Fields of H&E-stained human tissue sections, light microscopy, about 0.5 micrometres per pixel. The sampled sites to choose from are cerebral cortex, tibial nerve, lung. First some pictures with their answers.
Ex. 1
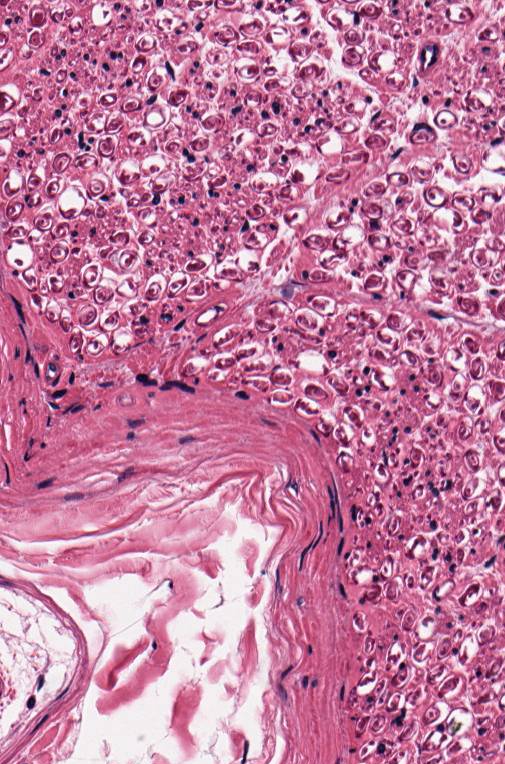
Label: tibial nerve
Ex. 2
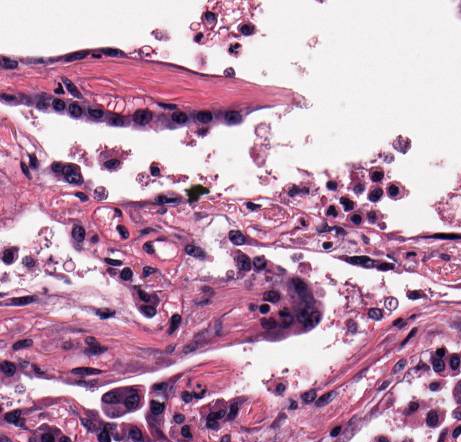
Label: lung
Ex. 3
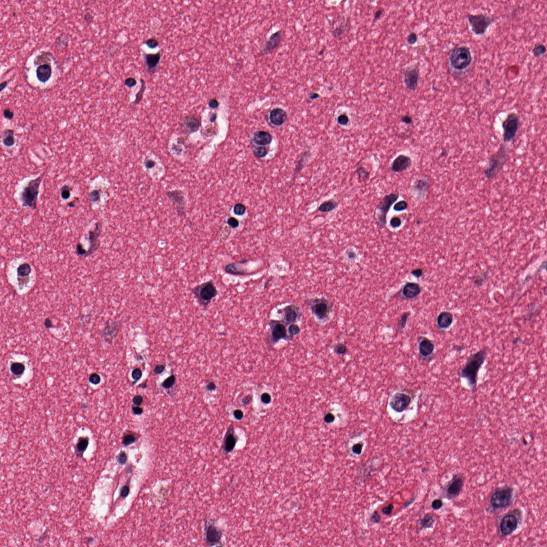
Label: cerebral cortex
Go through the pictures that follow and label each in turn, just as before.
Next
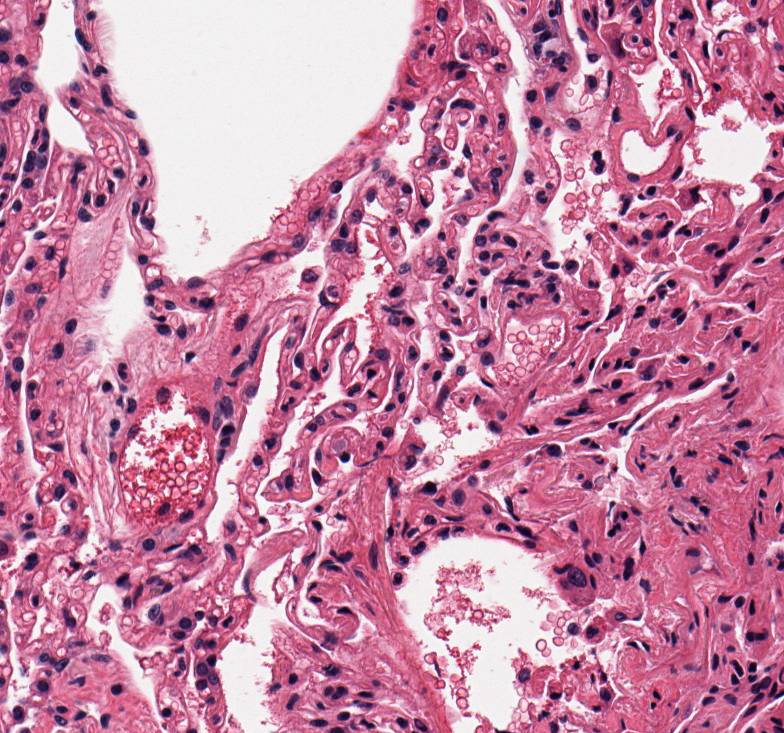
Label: lung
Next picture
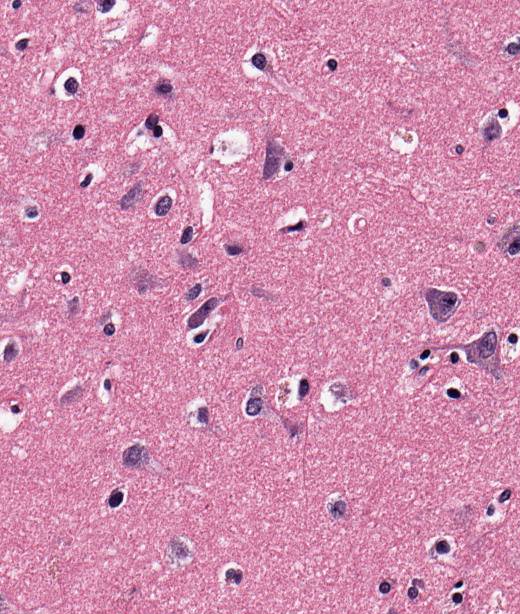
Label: cerebral cortex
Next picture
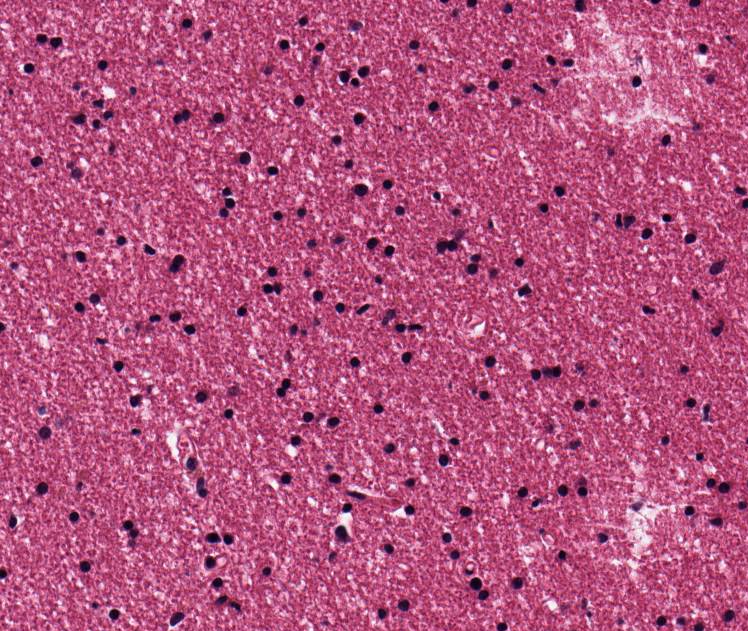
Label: cerebral cortex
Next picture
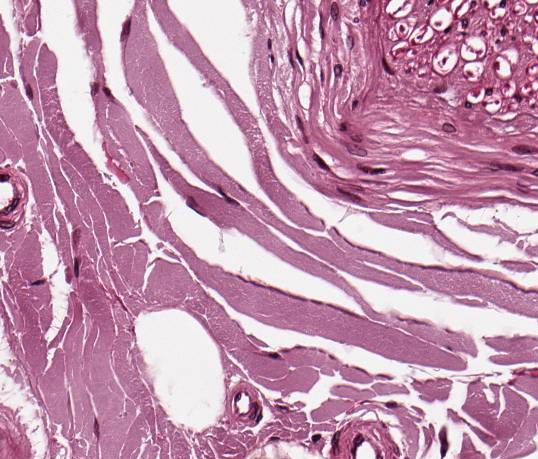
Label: tibial nerve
